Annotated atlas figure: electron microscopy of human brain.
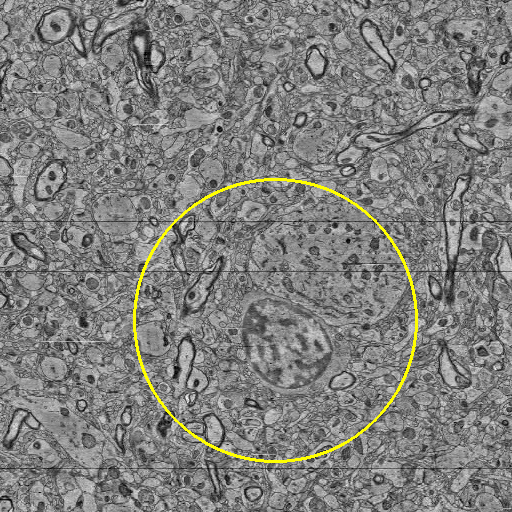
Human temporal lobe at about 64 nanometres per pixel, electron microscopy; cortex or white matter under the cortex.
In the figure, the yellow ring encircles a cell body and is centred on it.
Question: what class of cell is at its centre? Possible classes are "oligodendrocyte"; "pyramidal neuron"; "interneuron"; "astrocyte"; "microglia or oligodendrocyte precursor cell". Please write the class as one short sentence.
The yellow ring is drawn around an oligodendrocyte.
